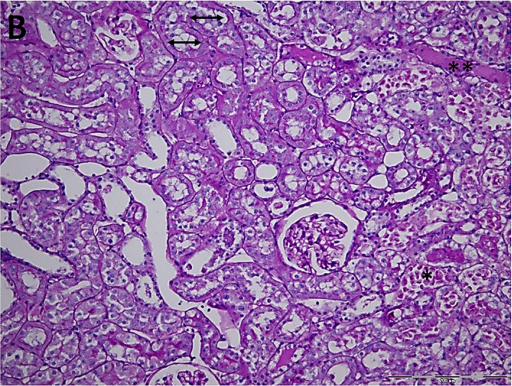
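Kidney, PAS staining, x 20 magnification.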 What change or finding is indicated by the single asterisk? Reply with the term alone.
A: necrosis of tubular epithelial cells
